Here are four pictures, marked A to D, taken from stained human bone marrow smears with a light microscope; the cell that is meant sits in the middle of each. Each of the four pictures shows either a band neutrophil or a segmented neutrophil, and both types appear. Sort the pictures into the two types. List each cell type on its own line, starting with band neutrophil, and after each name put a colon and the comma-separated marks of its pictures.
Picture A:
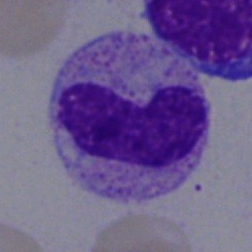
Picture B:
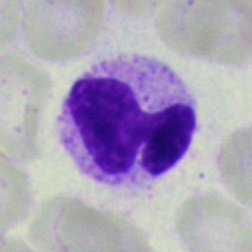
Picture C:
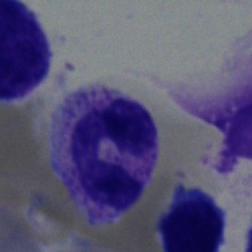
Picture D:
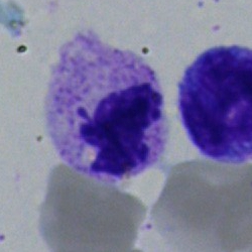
band neutrophil: A, B
segmented neutrophil: C, D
